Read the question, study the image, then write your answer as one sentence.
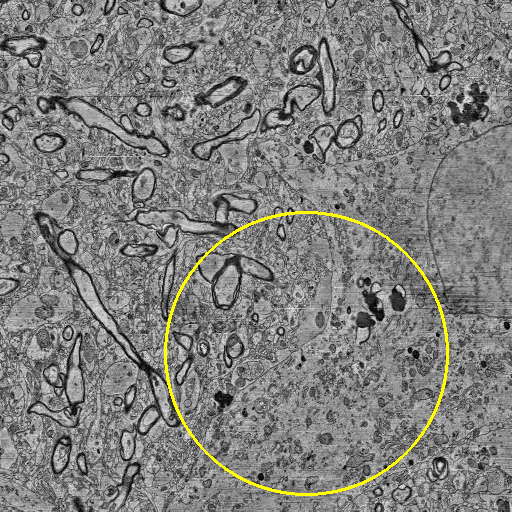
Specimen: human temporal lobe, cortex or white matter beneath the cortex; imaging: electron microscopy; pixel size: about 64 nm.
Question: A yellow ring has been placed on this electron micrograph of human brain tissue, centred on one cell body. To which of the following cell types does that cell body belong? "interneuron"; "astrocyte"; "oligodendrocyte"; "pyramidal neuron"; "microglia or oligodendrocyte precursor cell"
That cell body belongs to an oligodendrocyte.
